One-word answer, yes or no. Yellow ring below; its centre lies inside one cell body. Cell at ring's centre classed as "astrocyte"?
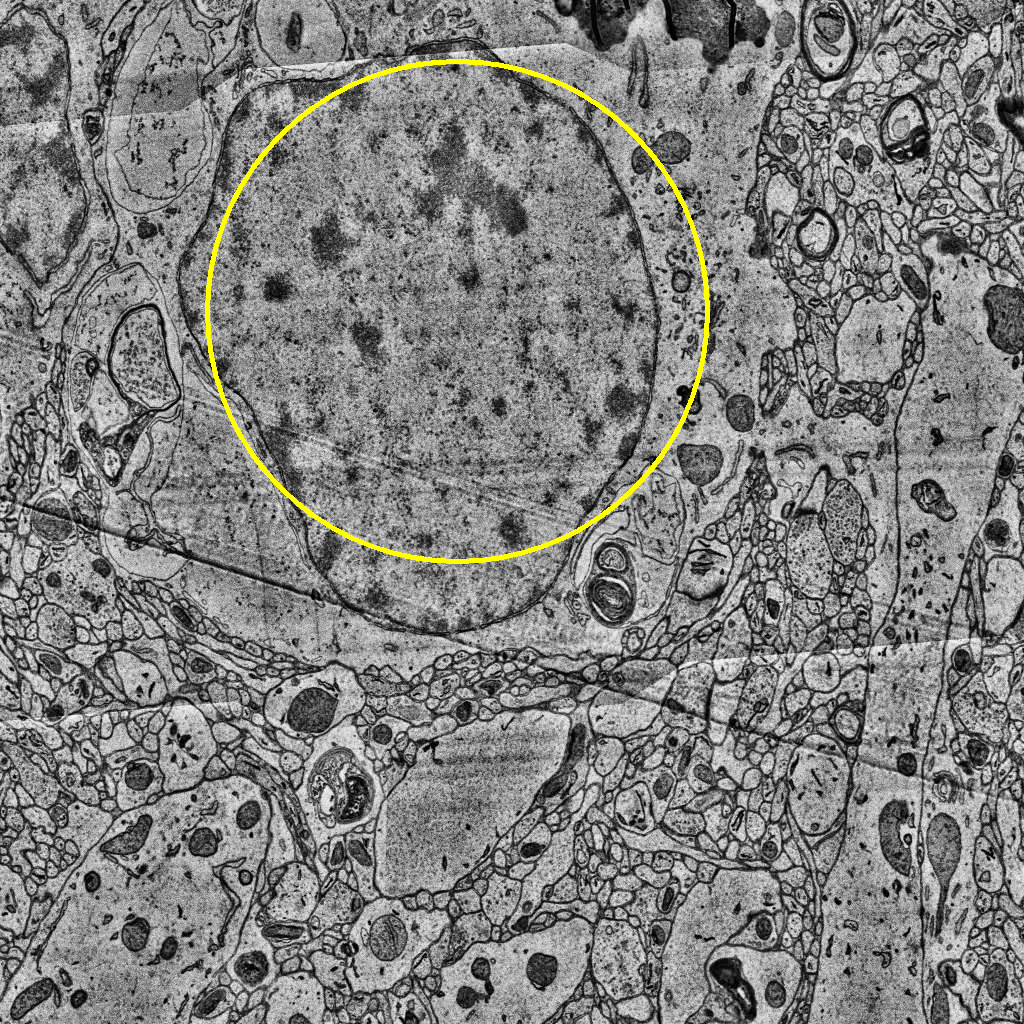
yes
